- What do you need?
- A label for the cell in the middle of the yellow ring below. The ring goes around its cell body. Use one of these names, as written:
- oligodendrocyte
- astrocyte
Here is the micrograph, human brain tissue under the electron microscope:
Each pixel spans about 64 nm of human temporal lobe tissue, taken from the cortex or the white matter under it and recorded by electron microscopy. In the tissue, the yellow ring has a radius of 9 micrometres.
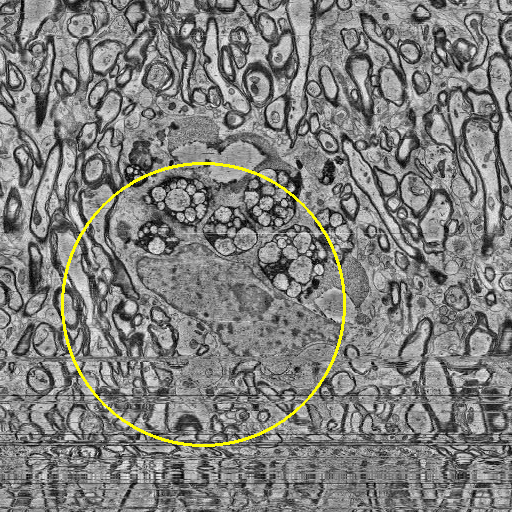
astrocyte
